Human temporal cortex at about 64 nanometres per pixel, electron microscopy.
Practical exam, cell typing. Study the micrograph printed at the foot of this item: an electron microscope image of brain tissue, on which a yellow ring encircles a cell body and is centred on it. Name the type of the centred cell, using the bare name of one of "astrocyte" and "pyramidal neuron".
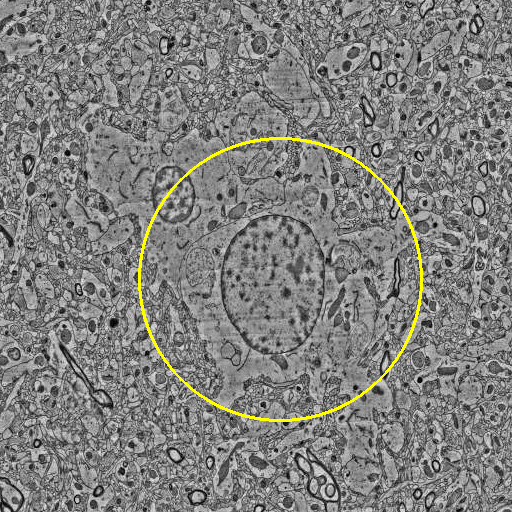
astrocyte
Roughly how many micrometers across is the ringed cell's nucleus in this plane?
In this plane, about 9 micrometres in length and 7 in width.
